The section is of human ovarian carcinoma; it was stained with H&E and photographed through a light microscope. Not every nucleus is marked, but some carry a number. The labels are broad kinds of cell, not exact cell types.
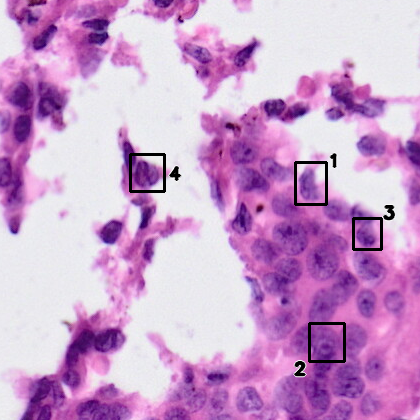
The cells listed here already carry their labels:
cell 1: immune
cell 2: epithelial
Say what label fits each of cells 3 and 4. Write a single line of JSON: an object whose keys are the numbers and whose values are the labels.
{"3": "immune", "4": "epithelial"}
